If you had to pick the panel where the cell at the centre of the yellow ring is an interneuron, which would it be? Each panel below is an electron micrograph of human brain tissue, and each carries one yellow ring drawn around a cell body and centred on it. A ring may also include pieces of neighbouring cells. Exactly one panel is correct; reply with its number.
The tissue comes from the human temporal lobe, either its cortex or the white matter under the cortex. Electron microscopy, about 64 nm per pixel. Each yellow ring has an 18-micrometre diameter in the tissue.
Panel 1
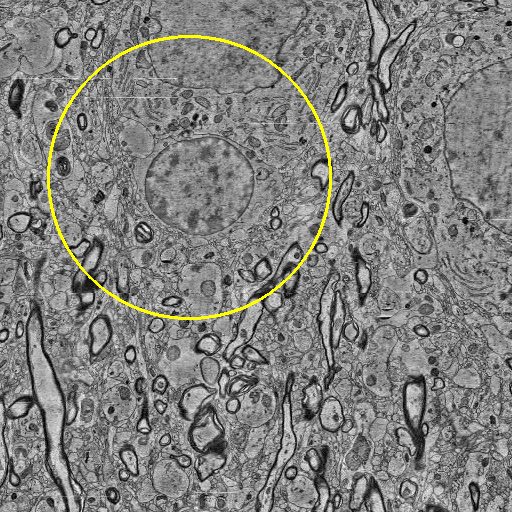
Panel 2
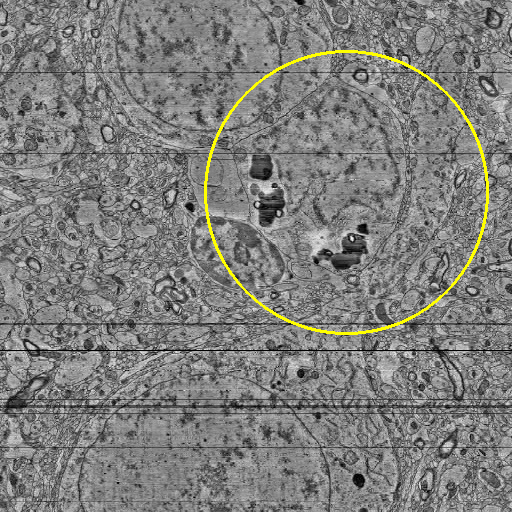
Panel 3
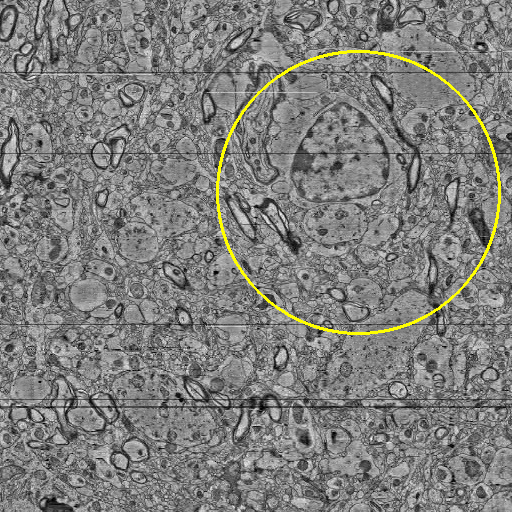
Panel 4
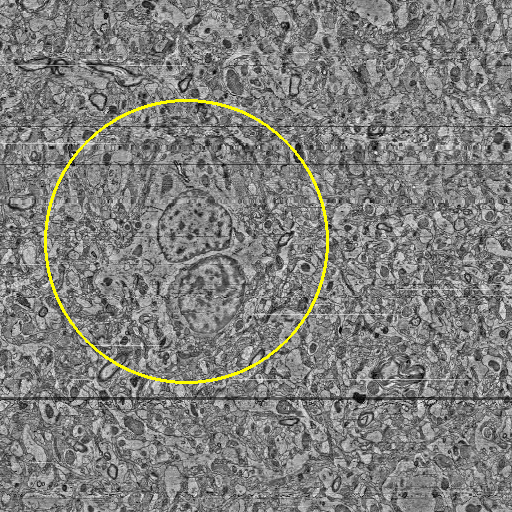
2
